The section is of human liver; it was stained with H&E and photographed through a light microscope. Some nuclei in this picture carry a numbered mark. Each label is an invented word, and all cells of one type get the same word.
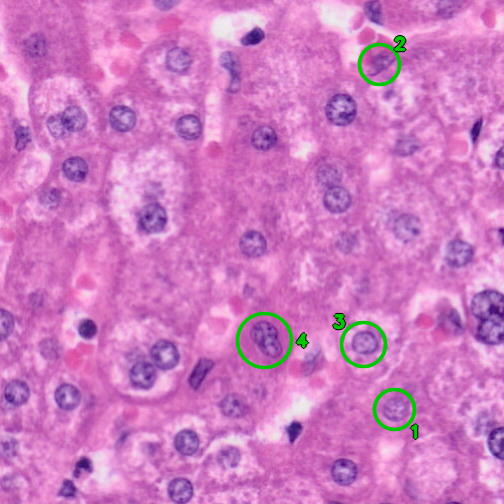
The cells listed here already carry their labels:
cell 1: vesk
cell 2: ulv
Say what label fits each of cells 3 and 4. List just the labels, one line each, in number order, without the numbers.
vesk
vesk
